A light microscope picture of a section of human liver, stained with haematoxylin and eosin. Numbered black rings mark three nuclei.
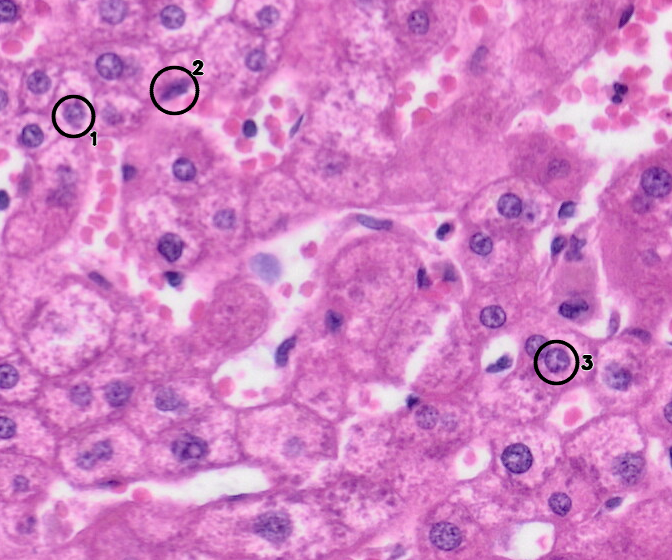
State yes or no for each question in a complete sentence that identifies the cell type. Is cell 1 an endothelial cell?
No, the cell labelled 1 is a hepatocyte and not an endothelial cell.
